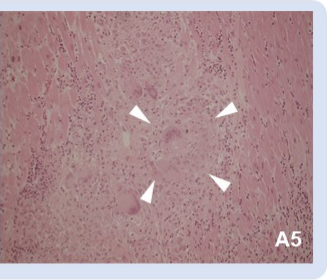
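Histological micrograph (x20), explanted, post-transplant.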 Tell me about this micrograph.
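This is heart muscle in which a noncaseating granuloma with multinucleated giant cells has formed. In the centre lies a pale pink, roughly round nodule of epithelioid cells containing large cells with several nuclei. No necrotic centre is present.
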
